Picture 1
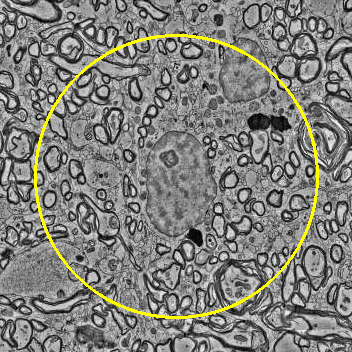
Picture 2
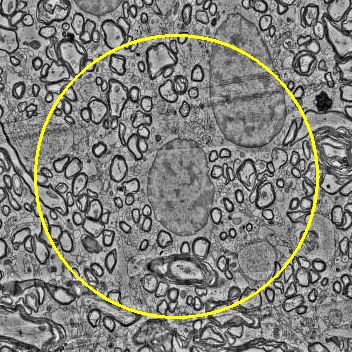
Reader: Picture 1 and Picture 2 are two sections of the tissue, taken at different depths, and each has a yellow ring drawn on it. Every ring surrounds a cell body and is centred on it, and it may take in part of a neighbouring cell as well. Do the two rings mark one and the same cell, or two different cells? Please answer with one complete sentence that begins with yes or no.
Yes, the marked cell is the same in both rings.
